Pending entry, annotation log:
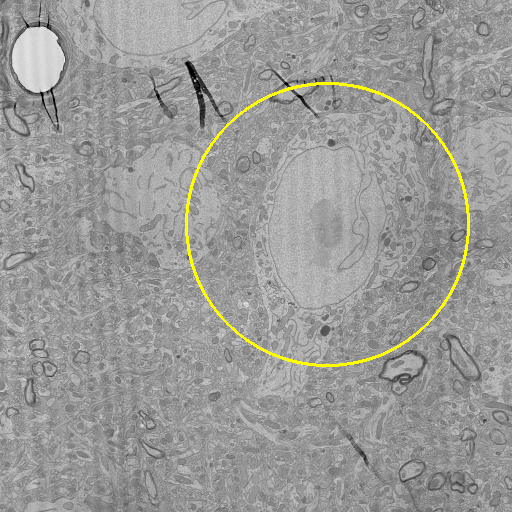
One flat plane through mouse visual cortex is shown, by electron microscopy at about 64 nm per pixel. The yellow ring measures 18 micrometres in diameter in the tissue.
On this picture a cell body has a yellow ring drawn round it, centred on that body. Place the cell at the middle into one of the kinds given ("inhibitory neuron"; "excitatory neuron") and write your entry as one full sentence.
The cell body at the middle of the yellow ring belongs to an inhibitory neuron.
